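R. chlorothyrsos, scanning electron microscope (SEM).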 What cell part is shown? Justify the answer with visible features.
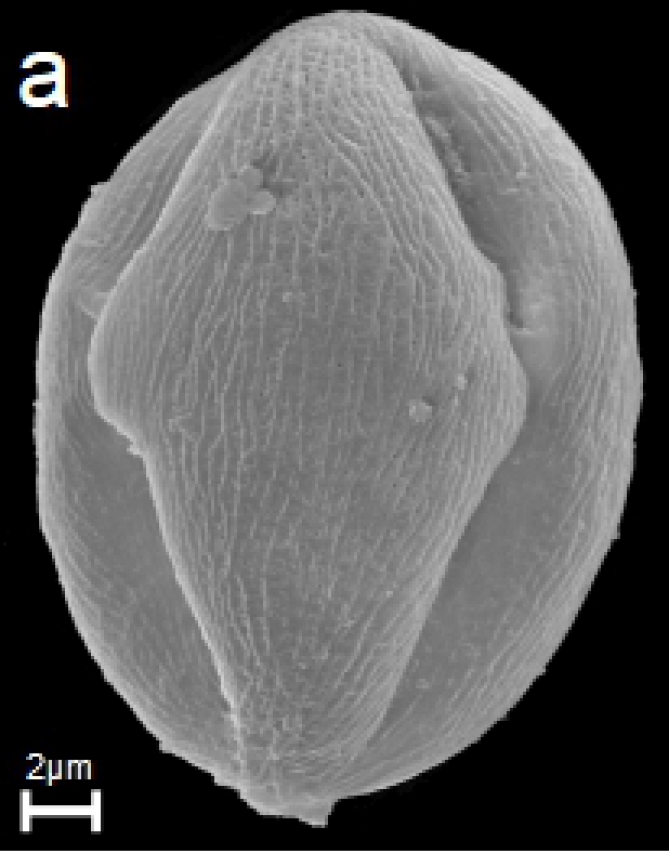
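Colpori. Long furrows run from pole to pole along both sides of the central face. The furrows bulge slightly at mid-length.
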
